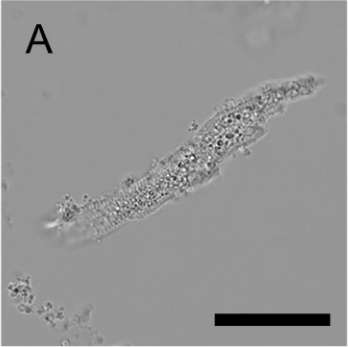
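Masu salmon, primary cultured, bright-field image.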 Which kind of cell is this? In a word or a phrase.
cardiomyocytes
